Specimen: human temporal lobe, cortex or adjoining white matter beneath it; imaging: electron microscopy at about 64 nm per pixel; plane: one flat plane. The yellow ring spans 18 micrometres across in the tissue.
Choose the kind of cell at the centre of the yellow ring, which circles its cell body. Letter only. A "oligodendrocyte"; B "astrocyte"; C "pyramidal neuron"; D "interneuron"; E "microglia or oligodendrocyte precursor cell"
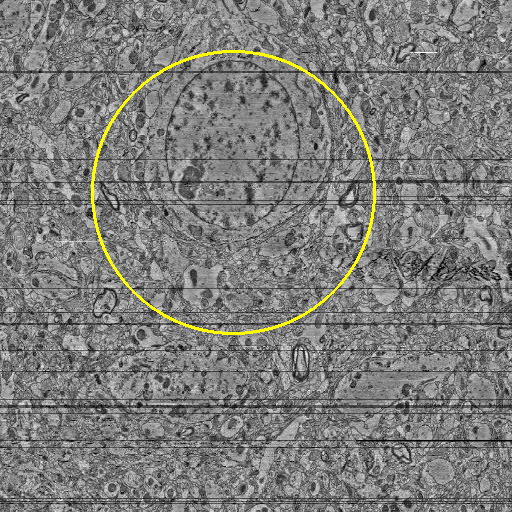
C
